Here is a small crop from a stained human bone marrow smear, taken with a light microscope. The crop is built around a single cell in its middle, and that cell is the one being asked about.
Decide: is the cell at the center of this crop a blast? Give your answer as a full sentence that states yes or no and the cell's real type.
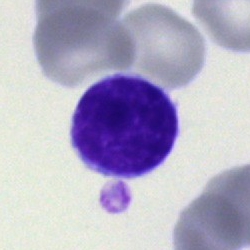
No, rather than being a blast, the central cell is a lymphocyte.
